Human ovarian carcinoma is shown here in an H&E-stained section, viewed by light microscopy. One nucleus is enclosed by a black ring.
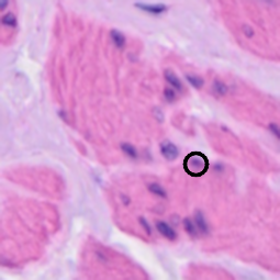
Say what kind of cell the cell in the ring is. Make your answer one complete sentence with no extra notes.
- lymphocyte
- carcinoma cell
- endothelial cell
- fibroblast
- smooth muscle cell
On this particular slide, the cell in the ring is a smooth muscle cell.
